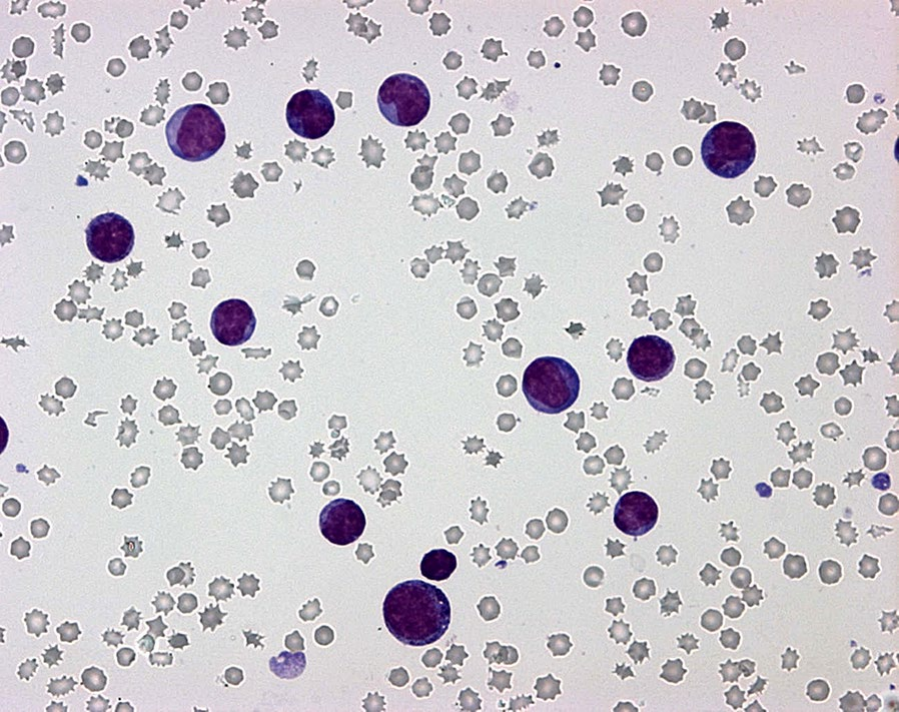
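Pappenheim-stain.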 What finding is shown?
Increase in numbers of white blood cells.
